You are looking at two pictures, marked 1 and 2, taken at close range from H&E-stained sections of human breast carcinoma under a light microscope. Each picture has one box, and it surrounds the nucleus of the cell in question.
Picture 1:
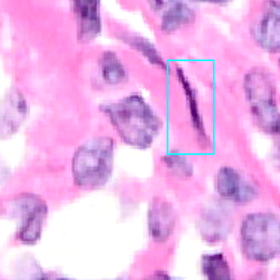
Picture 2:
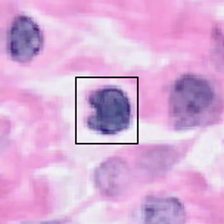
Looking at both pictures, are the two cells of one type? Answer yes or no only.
no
